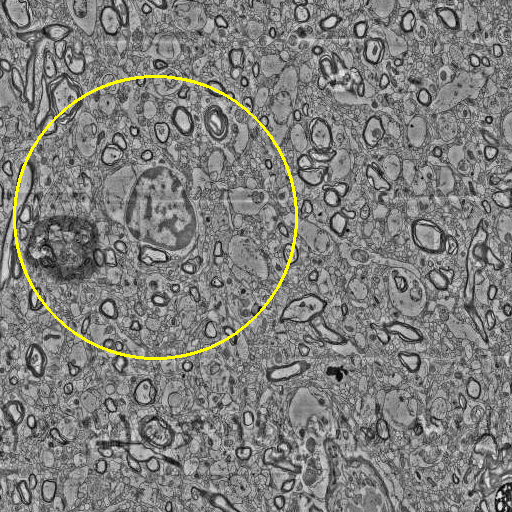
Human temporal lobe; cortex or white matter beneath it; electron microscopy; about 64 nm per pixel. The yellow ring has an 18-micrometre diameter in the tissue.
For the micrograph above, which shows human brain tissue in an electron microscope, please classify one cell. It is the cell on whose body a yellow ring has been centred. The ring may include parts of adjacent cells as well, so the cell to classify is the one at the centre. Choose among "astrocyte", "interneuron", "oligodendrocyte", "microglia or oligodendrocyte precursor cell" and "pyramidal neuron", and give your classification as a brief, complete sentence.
I classify this cell as a microglial cell or oligodendrocyte precursor cell.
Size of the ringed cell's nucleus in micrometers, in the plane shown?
Roughly 6 by 4 micrometres in this plane, for the nucleus of the ringed cell.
